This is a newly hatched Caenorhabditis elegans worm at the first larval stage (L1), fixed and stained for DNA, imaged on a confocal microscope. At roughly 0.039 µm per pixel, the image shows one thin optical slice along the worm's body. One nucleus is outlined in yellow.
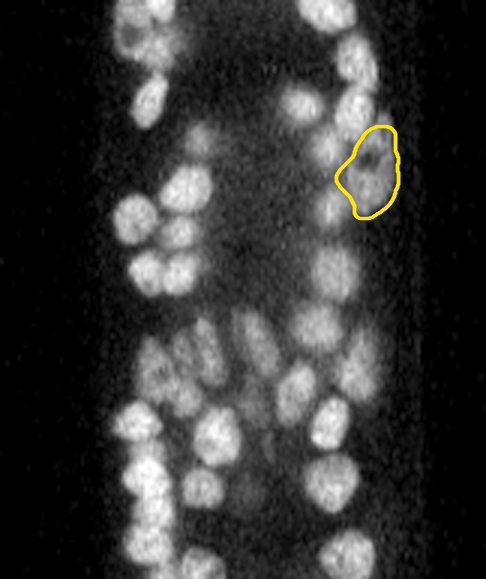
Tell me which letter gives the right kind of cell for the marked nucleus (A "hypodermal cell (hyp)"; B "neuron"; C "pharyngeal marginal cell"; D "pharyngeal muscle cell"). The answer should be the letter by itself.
A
